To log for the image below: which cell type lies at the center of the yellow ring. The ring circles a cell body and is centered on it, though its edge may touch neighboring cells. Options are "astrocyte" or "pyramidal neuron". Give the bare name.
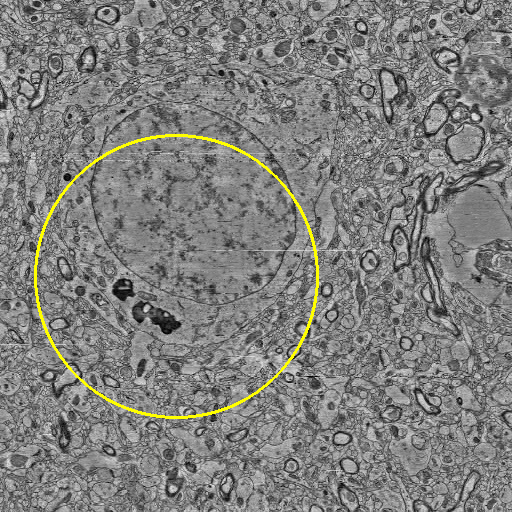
pyramidal neuron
